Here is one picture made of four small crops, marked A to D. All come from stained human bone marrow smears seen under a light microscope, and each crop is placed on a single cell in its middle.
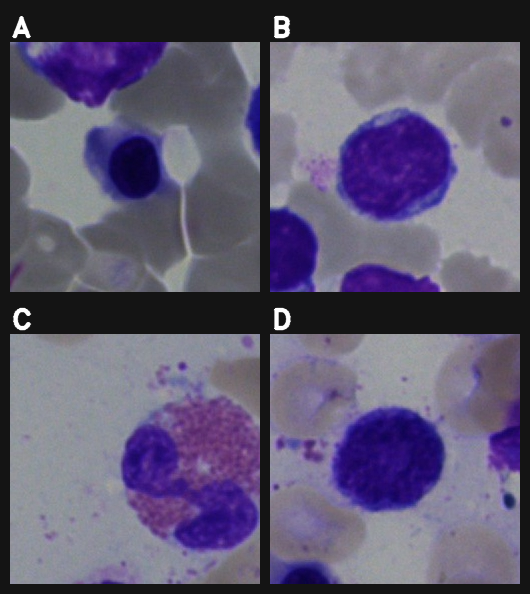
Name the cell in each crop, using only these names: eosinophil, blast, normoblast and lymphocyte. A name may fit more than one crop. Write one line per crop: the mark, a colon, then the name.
A: normoblast
B: lymphocyte
C: eosinophil
D: lymphocyte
